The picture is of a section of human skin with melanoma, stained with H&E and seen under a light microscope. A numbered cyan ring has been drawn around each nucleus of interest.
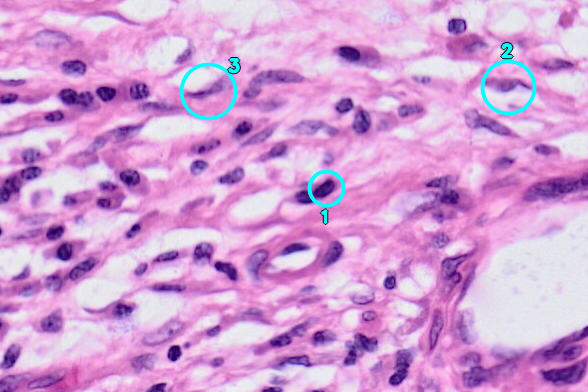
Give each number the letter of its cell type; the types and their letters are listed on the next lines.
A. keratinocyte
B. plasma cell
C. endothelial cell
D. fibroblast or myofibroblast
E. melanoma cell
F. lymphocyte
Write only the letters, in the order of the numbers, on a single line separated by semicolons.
B; D; D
